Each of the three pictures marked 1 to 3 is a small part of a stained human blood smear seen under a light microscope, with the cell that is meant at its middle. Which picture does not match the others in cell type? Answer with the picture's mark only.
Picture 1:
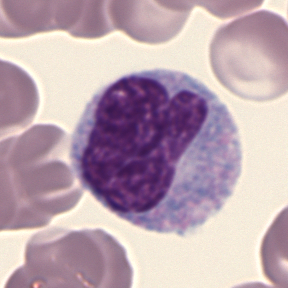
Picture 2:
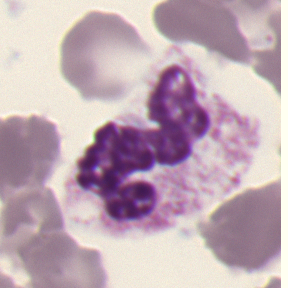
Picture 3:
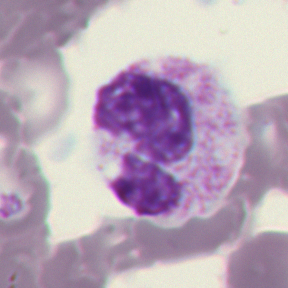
1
